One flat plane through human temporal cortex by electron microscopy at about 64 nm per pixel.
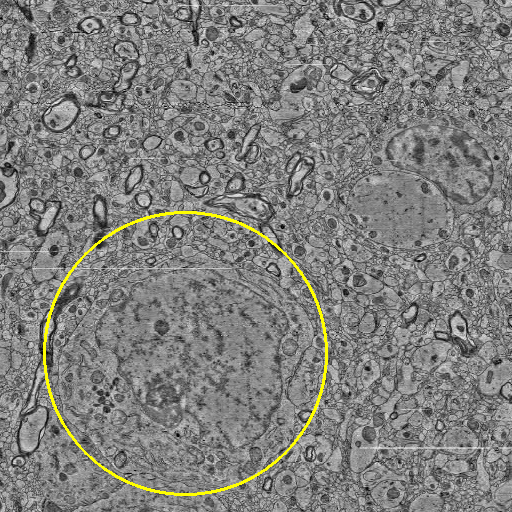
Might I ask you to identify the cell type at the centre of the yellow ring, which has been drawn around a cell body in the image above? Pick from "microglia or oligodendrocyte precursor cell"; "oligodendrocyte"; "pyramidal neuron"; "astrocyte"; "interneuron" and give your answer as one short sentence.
The centre of the ring falls on an interneuron.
